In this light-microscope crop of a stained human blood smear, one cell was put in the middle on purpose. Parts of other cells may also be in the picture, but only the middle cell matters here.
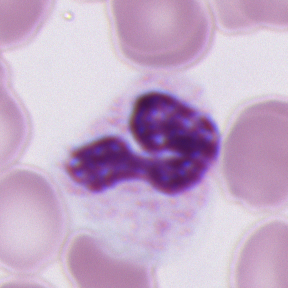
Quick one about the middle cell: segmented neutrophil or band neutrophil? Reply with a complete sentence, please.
Classification of the middle cell gives a segmented neutrophil.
